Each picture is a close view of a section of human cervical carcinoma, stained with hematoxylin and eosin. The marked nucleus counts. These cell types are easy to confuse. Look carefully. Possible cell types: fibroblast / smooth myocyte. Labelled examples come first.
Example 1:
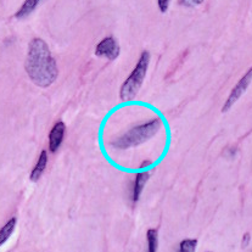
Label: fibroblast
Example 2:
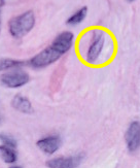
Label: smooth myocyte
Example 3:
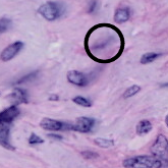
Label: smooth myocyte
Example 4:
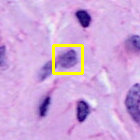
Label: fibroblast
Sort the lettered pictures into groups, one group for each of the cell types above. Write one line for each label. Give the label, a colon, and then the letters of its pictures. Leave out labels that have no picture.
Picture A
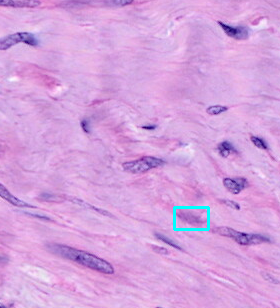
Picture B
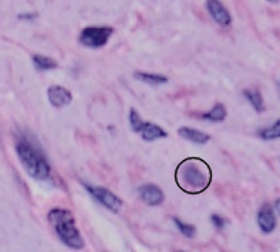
smooth myocyte: A, B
